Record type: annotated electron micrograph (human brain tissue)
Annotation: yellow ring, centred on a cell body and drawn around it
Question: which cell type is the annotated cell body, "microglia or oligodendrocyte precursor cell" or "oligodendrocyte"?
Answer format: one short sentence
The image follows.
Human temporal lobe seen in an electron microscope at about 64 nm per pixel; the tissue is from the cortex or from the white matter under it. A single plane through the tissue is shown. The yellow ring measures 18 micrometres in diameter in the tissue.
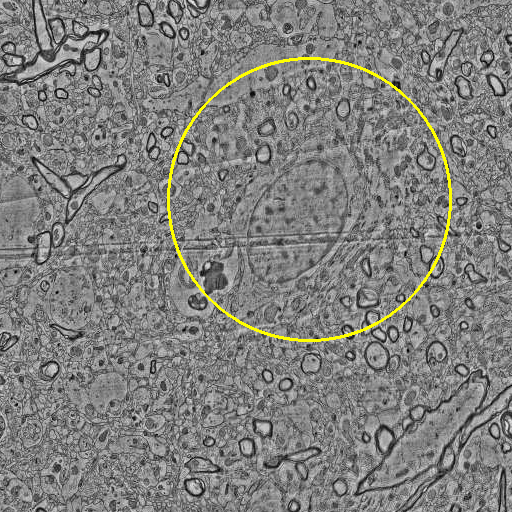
The annotated cell body is that of a microglial cell or oligodendrocyte precursor cell.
